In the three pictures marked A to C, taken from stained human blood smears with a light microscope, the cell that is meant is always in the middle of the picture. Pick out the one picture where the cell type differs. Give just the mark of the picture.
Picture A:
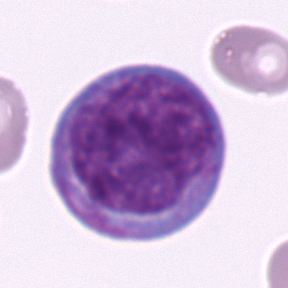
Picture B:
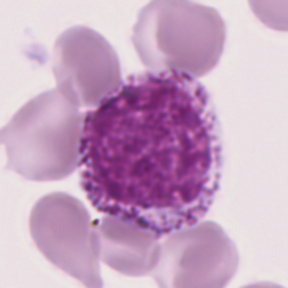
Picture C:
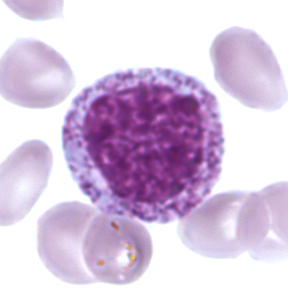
A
